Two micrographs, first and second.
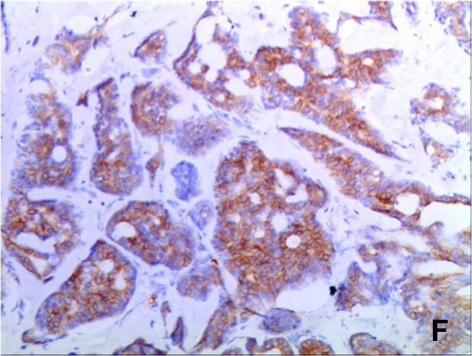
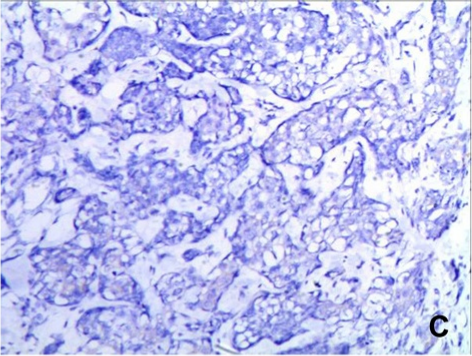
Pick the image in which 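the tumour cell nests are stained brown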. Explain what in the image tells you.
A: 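The first image. First image: the tumour cell nests show diffuse brown cytoplasmic staining. Second image: the tumour cell nests are only blue, with no brown staining.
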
